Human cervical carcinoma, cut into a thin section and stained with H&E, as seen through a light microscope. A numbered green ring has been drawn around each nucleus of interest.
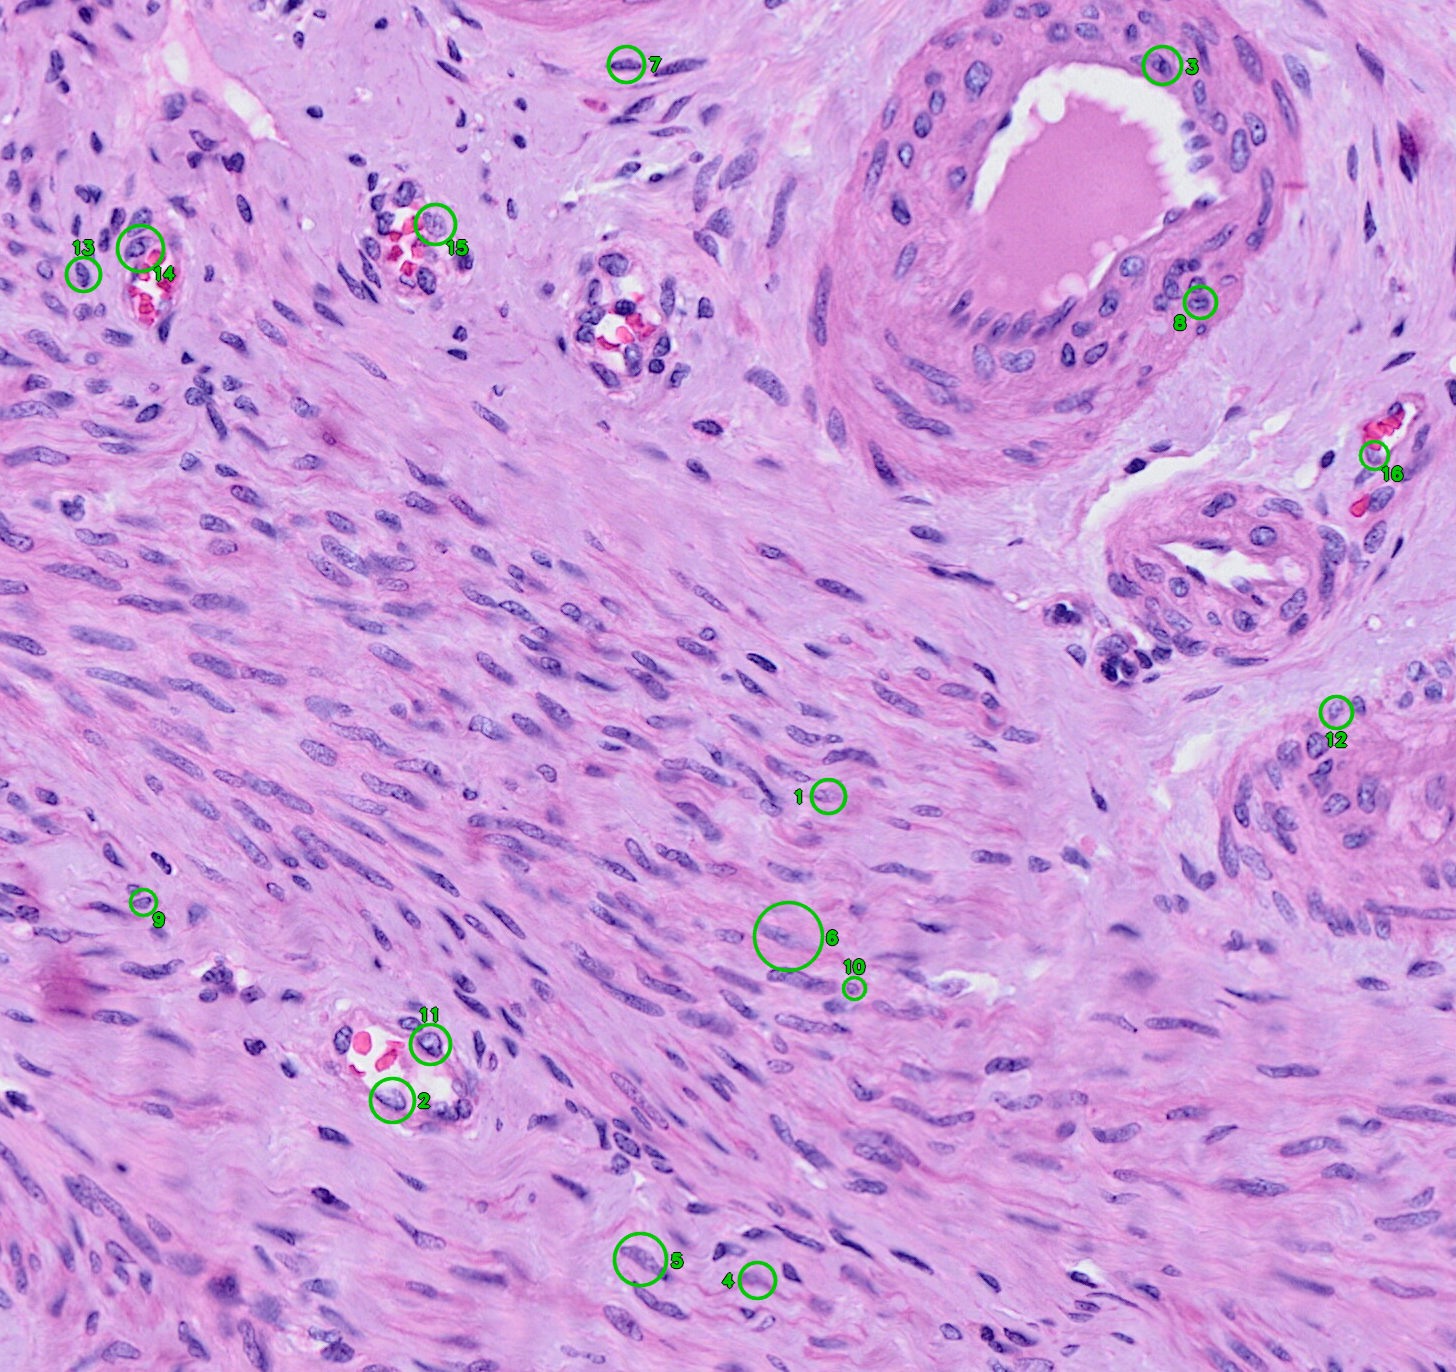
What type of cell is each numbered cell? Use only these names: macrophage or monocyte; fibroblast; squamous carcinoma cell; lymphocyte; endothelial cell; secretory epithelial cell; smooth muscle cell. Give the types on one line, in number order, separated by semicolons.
smooth muscle cell; endothelial cell; smooth muscle cell; smooth muscle cell; smooth muscle cell; smooth muscle cell; fibroblast; smooth muscle cell; smooth muscle cell; smooth muscle cell; endothelial cell; smooth muscle cell; fibroblast; endothelial cell; endothelial cell; endothelial cell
